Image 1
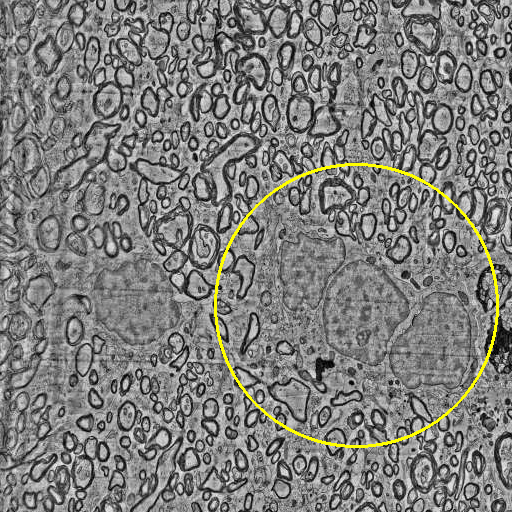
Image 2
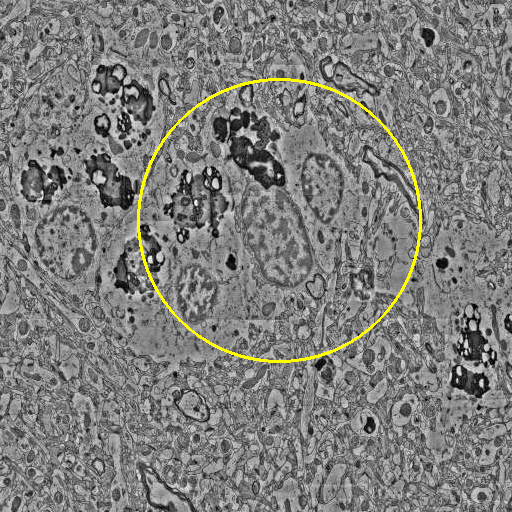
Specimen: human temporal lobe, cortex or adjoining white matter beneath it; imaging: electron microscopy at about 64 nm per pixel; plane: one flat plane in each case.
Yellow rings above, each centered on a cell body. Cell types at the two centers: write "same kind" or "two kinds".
same kind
